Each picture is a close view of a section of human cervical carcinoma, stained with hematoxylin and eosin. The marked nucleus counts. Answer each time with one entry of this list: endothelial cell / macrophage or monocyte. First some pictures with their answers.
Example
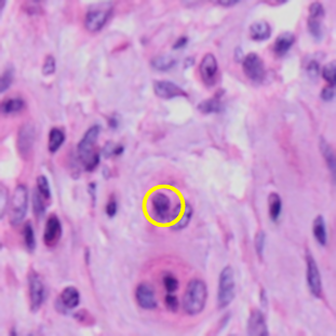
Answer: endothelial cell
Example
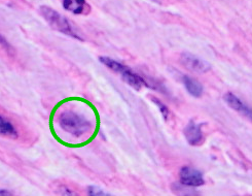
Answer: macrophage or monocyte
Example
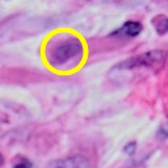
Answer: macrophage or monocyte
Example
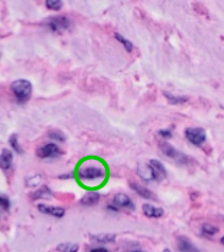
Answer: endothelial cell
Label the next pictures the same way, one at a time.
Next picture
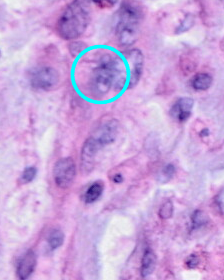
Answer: endothelial cell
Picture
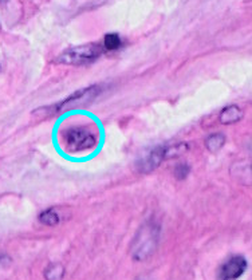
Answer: macrophage or monocyte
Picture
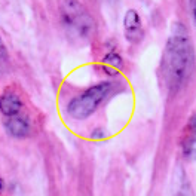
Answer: macrophage or monocyte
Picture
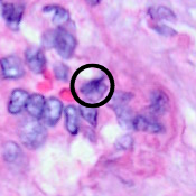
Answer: endothelial cell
